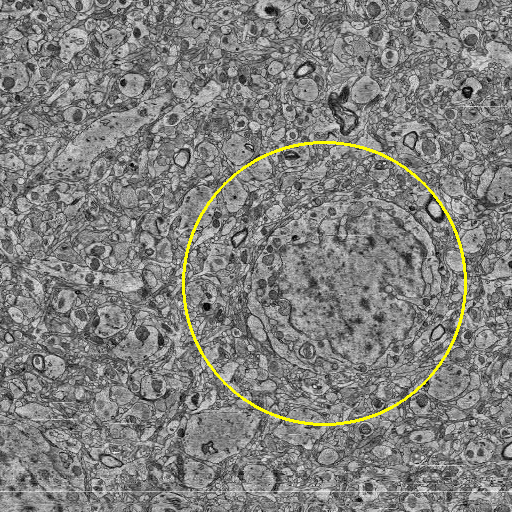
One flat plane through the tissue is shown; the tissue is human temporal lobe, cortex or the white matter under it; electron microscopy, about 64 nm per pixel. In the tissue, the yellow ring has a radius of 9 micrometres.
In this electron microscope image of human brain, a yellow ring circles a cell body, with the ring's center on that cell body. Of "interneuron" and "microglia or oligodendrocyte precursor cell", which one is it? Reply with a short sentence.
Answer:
It is an interneuron at the center of the ring.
